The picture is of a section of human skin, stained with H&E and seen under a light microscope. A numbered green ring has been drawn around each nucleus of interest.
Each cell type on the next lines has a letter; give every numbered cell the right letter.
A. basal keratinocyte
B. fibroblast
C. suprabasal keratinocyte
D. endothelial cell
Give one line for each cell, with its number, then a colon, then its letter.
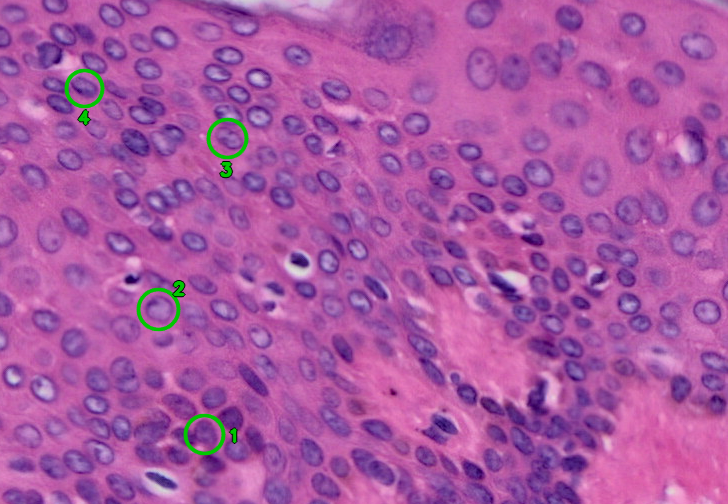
1: A
2: C
3: C
4: C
